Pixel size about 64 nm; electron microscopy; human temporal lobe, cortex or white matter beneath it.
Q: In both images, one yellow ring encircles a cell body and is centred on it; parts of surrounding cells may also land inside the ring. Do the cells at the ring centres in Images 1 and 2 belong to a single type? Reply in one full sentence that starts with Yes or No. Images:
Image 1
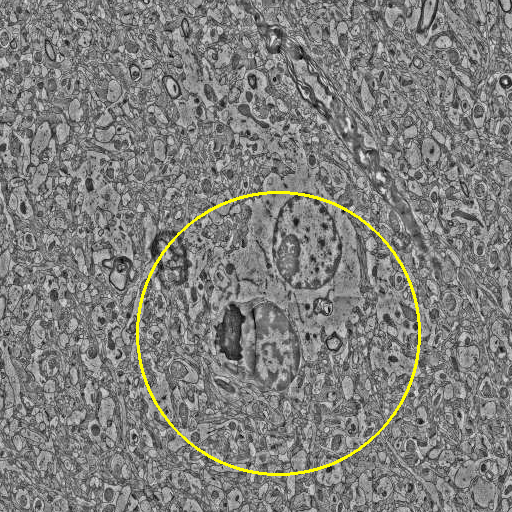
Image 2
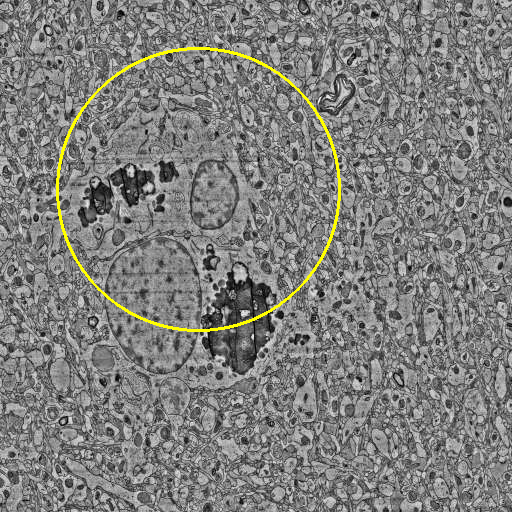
No, the cells at the ring centres in Images 1 and 2 are of two types.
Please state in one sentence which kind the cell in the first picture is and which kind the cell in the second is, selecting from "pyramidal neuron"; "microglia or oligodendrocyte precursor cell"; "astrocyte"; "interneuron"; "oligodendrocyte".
The first ringed cell is an oligodendrocyte, the second ringed cell an astrocyte.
